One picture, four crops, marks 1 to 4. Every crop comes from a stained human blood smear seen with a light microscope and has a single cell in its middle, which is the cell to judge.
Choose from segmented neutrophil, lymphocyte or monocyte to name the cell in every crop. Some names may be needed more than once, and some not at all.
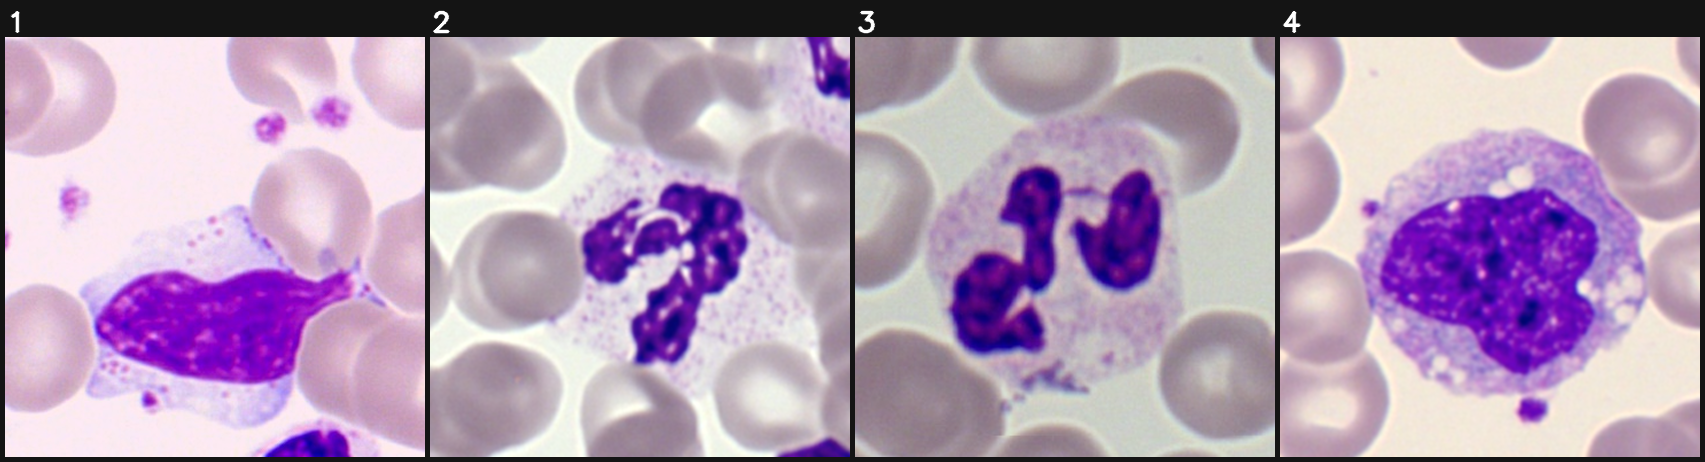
1: lymphocyte
2: segmented neutrophil
3: segmented neutrophil
4: monocyte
